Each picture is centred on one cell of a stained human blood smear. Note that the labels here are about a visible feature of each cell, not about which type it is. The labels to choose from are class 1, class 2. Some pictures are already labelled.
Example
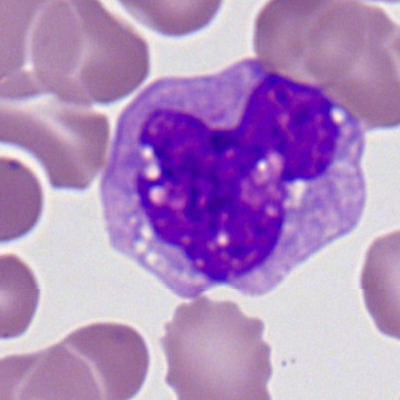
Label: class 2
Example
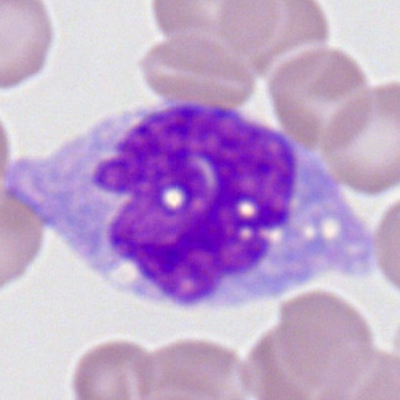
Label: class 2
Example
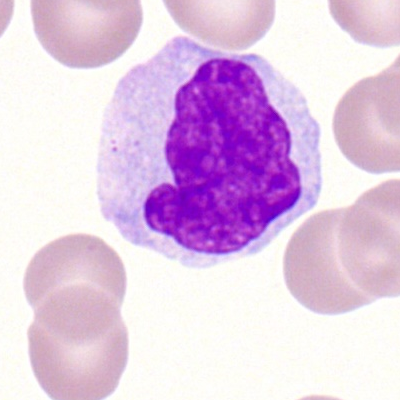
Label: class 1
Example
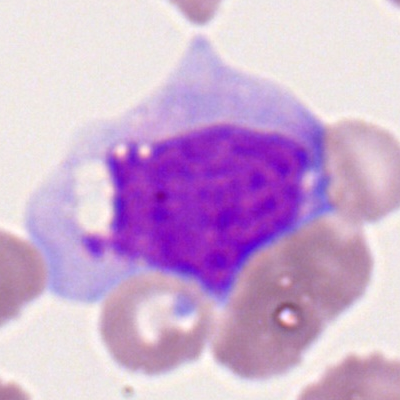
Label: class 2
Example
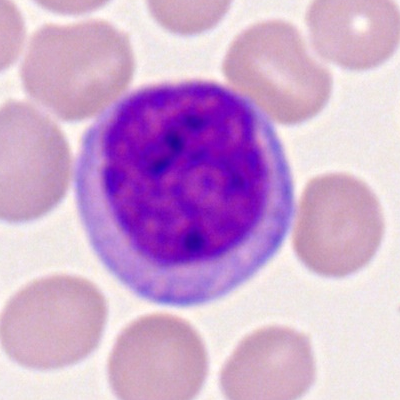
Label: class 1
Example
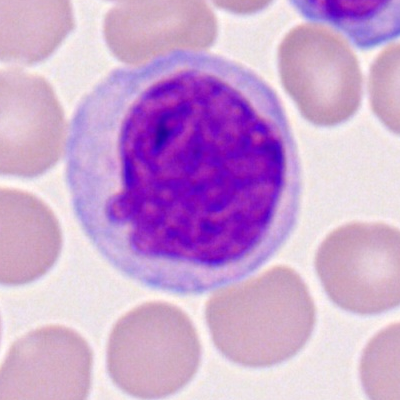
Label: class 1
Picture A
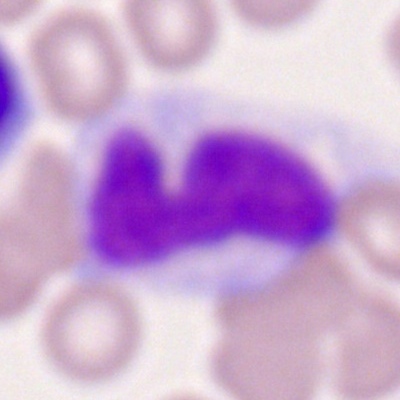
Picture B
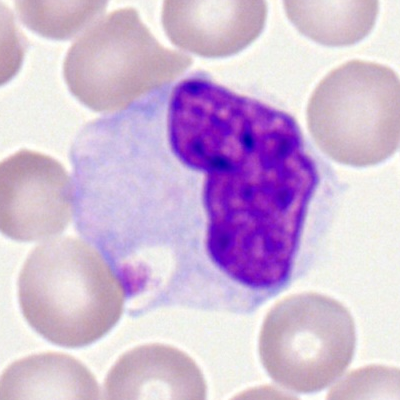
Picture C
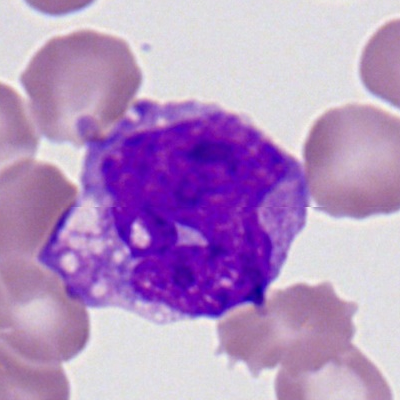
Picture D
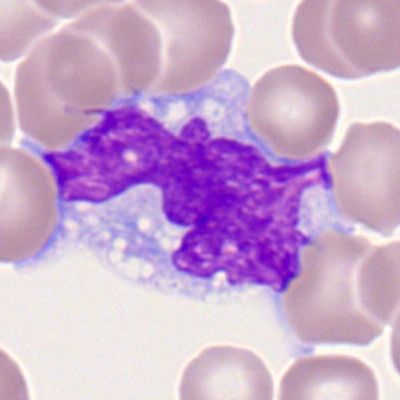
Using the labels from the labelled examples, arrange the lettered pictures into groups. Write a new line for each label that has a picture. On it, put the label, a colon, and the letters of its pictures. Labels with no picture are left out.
class 1: A
class 2: B, C, D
